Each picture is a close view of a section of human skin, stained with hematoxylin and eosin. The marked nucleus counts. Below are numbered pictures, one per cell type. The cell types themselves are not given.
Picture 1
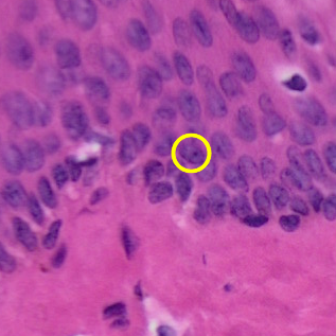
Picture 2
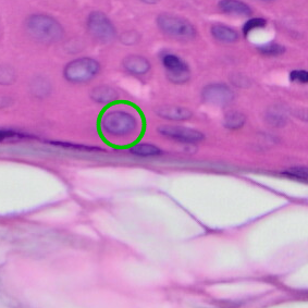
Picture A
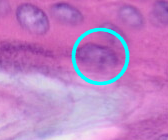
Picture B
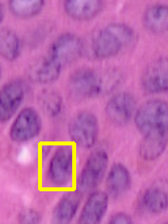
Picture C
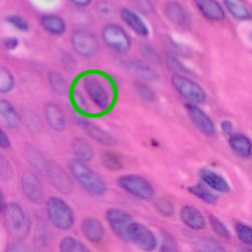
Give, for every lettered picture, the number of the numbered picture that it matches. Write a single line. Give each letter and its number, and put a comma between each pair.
A 2, B 1, C 1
